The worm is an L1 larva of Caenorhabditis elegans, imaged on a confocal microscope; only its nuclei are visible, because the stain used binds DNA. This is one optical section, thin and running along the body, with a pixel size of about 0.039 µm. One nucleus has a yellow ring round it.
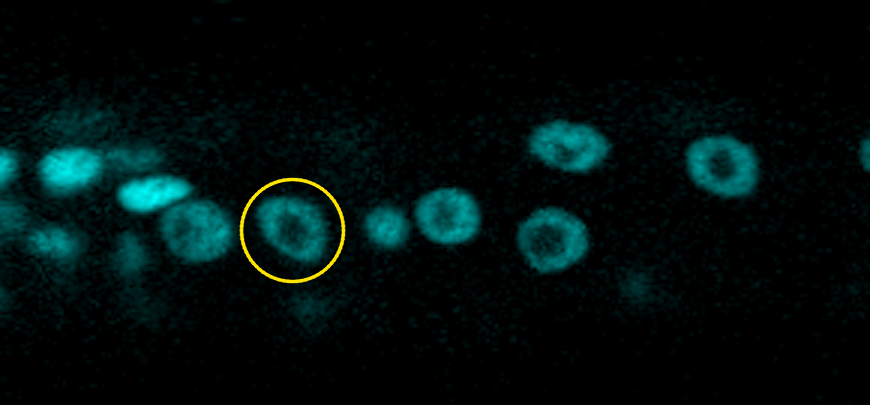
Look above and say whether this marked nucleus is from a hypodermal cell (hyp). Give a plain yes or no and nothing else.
yes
